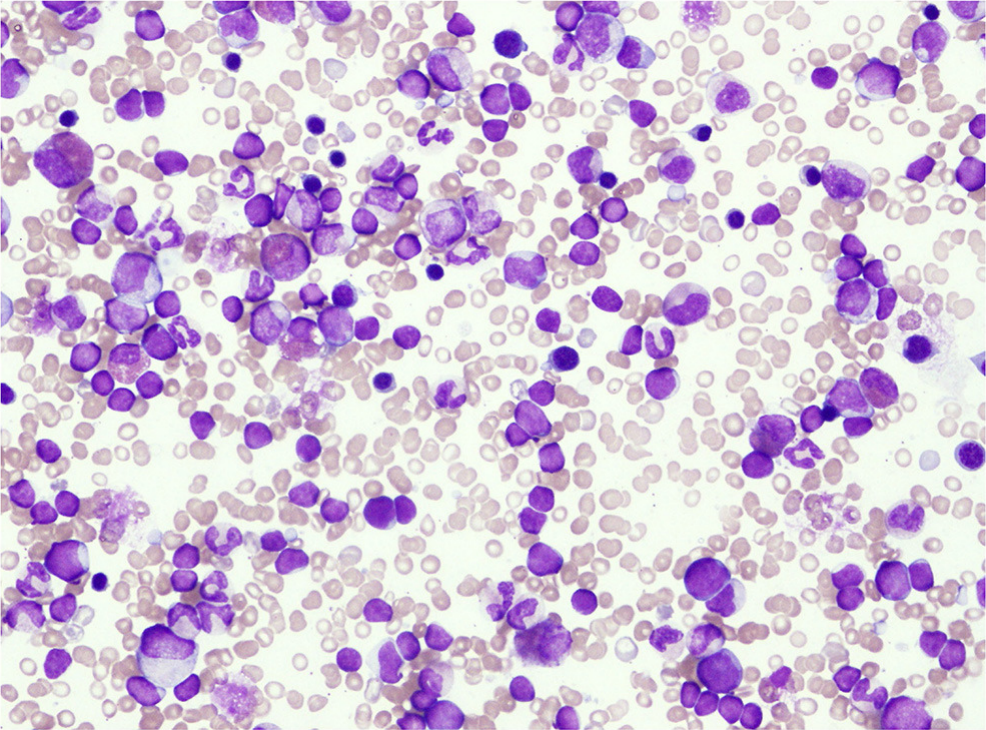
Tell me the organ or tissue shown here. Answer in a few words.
Bone marrow.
